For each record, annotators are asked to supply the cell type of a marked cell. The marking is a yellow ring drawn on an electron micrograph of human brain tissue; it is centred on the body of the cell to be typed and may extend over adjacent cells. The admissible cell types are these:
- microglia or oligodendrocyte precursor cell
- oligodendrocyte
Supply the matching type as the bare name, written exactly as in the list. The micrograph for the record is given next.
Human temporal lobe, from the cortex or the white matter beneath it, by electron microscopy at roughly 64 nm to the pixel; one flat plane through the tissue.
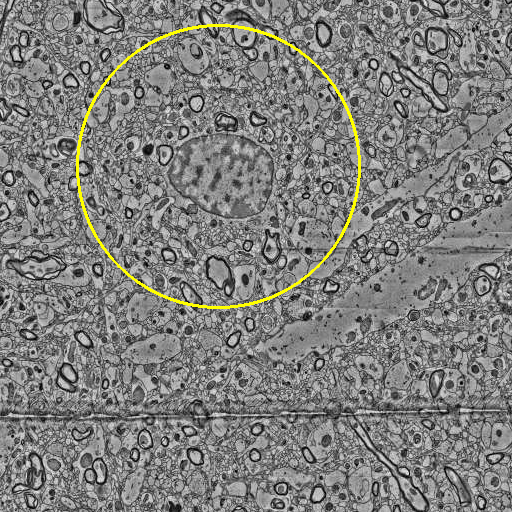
oligodendrocyte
